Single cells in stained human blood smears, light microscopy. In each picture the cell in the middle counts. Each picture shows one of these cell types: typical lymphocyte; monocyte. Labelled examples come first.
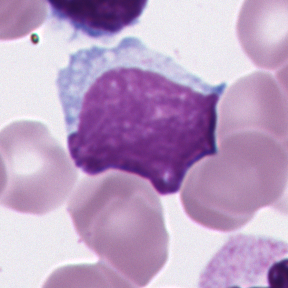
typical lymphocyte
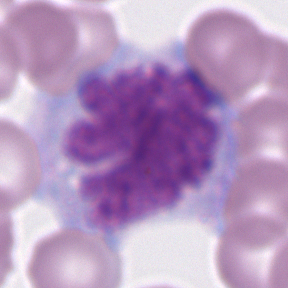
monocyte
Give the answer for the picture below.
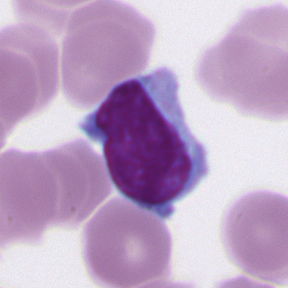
typical lymphocyte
